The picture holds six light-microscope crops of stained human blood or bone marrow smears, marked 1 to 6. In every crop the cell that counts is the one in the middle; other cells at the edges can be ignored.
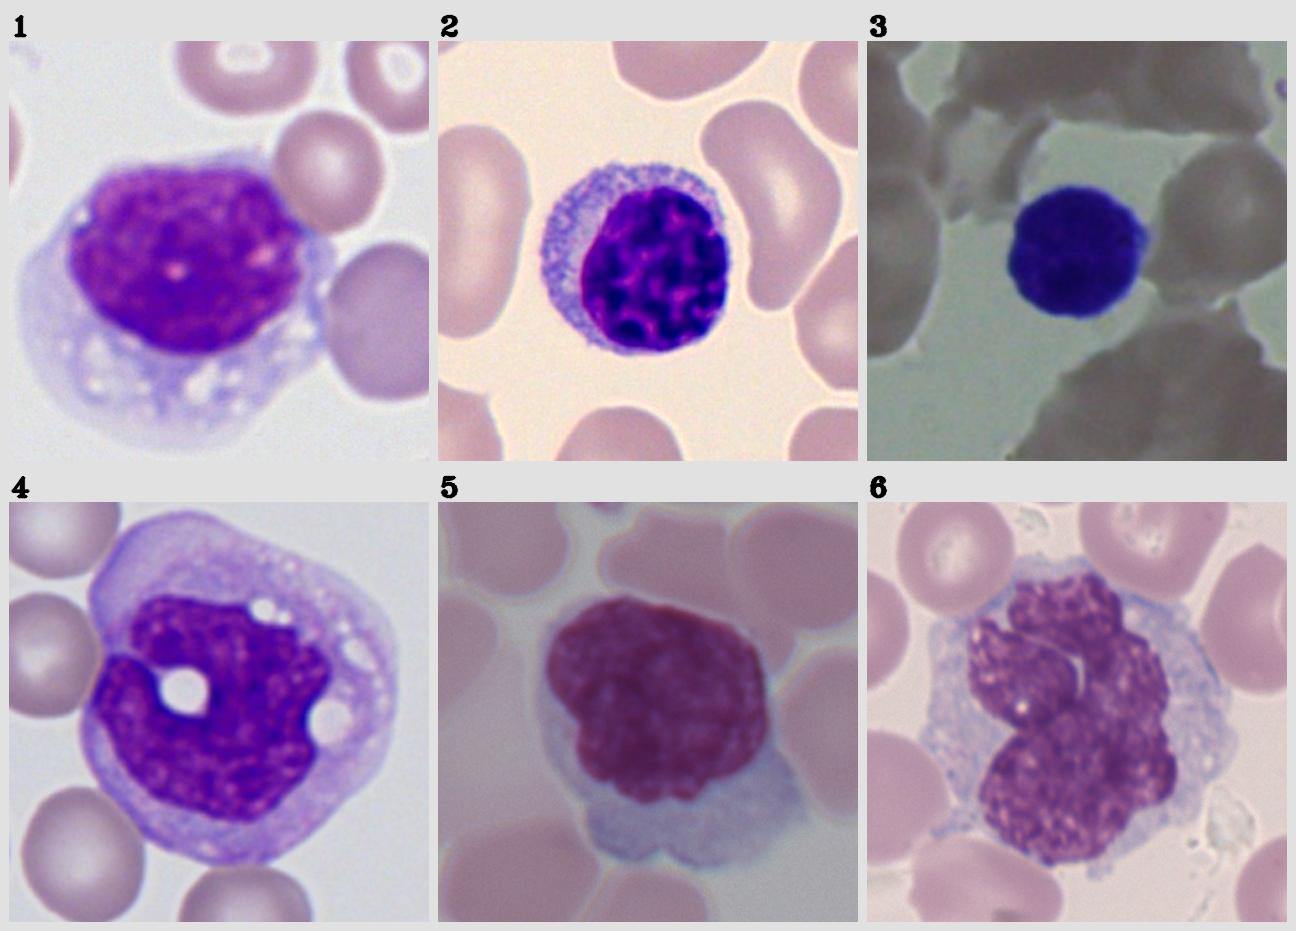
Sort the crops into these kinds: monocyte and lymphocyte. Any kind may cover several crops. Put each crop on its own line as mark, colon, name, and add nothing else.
1: monocyte
2: lymphocyte
3: lymphocyte
4: monocyte
5: monocyte
6: monocyte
